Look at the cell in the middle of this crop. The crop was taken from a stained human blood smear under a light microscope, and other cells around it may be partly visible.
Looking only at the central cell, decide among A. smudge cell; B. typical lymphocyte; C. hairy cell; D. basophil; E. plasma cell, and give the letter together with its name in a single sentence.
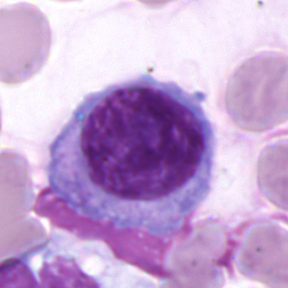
The correct response is option E, naming the cell in the middle as a plasma cell.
